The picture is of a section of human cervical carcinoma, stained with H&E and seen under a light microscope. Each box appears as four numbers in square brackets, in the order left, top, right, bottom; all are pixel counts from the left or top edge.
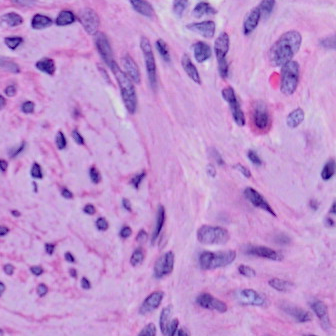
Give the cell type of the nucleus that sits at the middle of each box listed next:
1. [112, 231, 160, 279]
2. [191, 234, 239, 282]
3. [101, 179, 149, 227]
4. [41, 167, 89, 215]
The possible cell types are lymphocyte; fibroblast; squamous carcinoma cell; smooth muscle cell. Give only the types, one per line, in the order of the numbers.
smooth muscle cell
fibroblast
smooth muscle cell
smooth muscle cell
